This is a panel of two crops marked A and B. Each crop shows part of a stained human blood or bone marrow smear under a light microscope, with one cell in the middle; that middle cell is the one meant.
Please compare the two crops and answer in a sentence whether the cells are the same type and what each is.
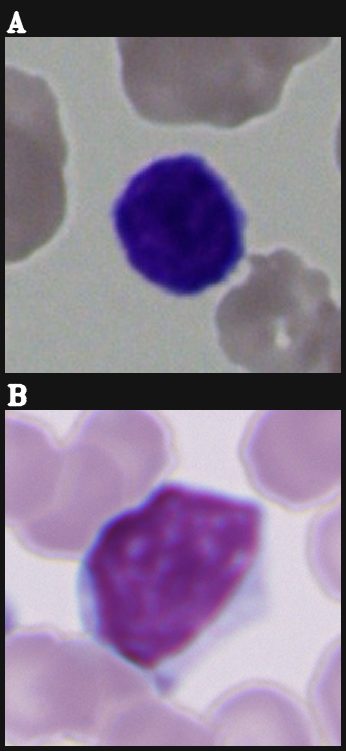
Yes, the cells at the centres of the two crops are lymphocytes.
